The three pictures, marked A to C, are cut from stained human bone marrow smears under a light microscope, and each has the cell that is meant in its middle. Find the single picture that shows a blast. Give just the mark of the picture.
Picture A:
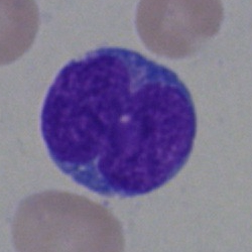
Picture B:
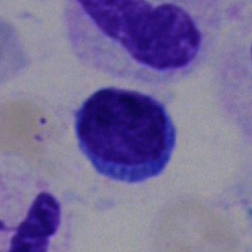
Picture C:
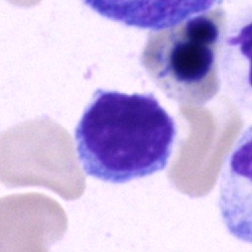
A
